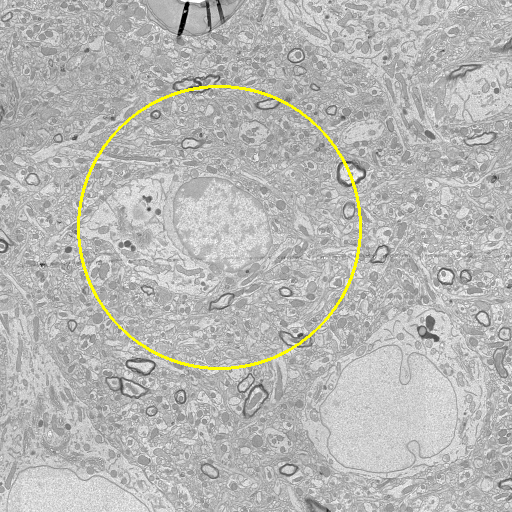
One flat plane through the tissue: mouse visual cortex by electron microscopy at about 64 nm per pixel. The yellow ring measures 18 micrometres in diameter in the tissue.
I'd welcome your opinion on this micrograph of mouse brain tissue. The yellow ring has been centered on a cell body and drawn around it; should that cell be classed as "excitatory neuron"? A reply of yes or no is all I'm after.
no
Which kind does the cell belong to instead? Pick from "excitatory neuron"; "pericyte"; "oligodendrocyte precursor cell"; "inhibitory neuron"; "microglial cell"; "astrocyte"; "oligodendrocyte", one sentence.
It is an oligodendrocyte that the ring is centred on.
